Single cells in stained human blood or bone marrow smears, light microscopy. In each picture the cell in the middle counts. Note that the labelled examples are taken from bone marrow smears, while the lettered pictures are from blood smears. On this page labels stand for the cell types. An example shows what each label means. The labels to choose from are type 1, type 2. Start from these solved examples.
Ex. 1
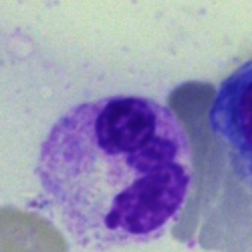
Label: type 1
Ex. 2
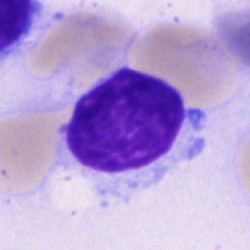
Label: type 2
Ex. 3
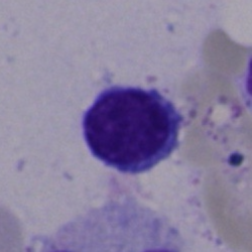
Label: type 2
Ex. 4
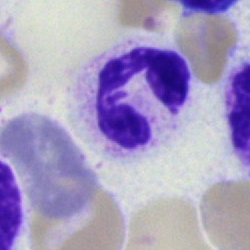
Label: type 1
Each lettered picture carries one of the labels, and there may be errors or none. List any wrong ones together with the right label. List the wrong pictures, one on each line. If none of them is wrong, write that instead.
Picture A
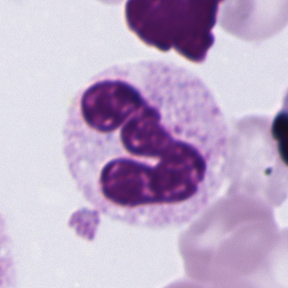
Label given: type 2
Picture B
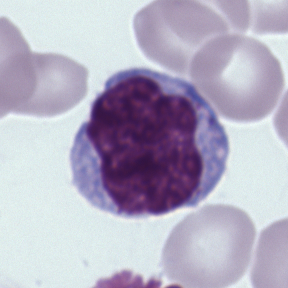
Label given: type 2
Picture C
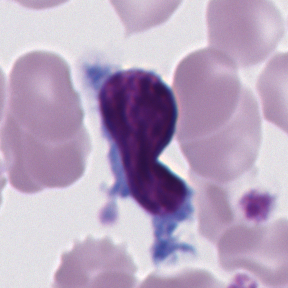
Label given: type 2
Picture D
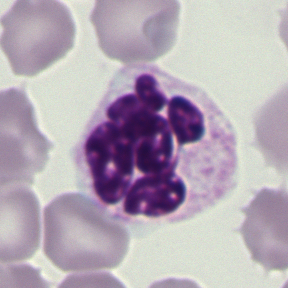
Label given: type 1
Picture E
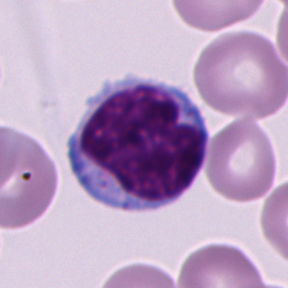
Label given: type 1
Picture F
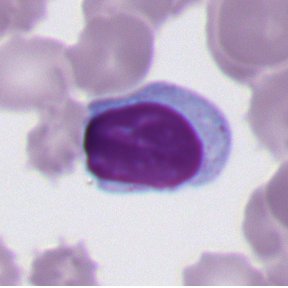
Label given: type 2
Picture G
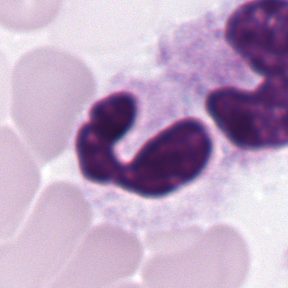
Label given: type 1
A: not type 2 but type 1
E: not type 1 but type 2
